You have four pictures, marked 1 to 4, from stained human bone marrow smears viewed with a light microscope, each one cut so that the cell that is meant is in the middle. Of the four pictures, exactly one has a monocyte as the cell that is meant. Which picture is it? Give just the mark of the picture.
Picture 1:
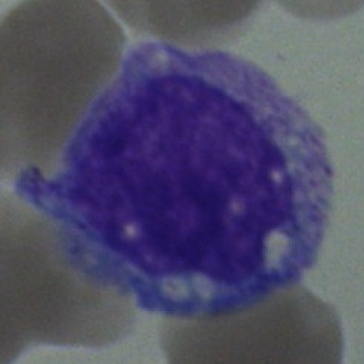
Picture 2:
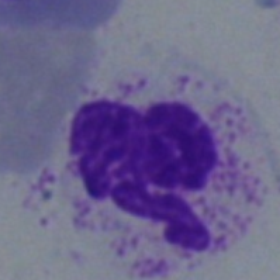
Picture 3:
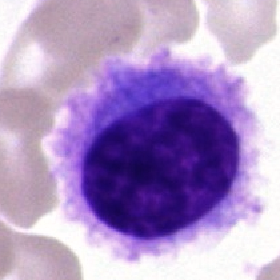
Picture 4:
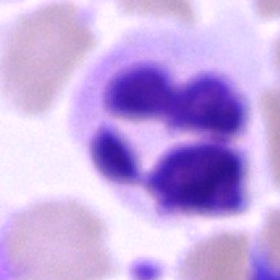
1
